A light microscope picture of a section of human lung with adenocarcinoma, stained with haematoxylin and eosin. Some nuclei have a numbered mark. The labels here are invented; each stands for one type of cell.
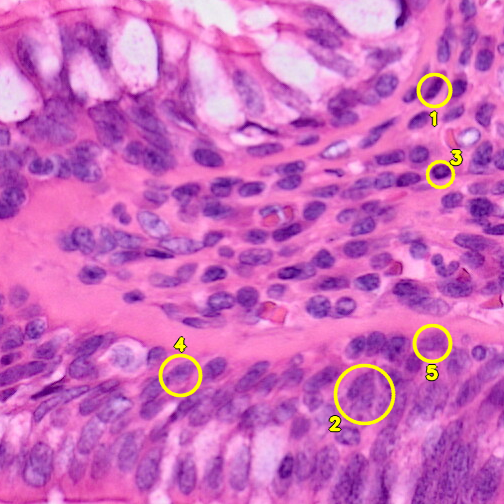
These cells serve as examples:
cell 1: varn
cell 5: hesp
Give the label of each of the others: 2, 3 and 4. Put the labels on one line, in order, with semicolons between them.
hesp; varn; hesp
